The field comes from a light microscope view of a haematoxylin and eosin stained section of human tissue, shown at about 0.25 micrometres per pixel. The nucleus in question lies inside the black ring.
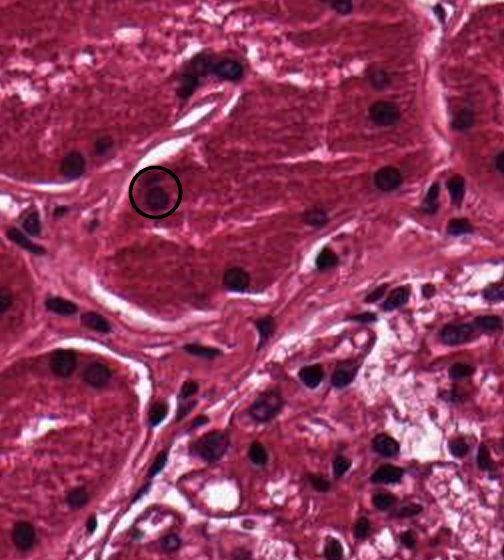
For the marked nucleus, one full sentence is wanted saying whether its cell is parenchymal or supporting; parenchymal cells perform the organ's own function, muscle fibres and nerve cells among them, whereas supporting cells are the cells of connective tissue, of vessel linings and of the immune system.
Within a parenchymal cell, namely a proximal tubule cell, sits the marked nucleus.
